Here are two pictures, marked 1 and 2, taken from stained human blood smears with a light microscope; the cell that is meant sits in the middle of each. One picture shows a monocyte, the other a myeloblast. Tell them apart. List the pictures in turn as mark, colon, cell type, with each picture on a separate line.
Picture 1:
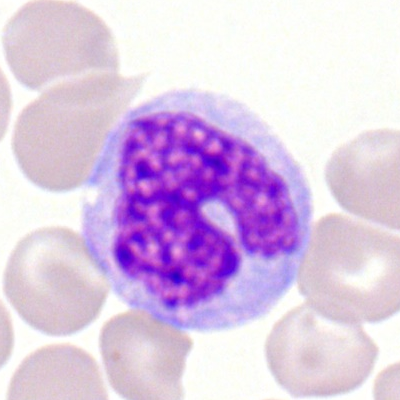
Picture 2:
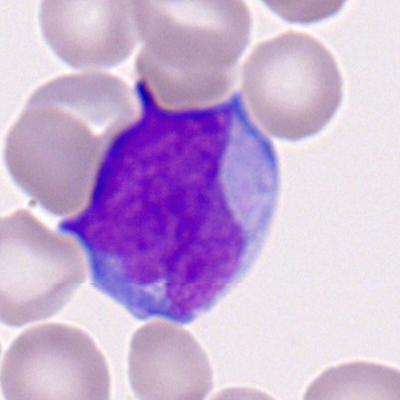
1: monocyte
2: myeloblast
